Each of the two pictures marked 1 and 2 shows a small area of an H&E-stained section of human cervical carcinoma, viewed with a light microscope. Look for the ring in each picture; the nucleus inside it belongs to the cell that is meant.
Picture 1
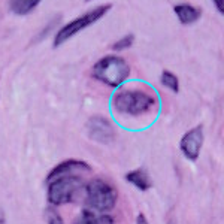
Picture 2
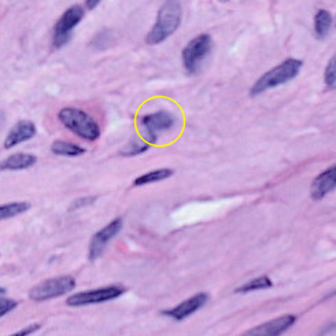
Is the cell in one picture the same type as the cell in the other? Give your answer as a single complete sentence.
No, the types are not the same, since picture 1 shows an endothelial cell and picture 2 a fibroblast.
